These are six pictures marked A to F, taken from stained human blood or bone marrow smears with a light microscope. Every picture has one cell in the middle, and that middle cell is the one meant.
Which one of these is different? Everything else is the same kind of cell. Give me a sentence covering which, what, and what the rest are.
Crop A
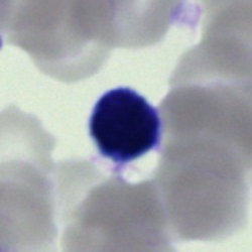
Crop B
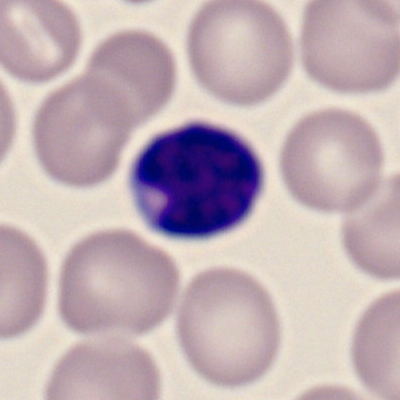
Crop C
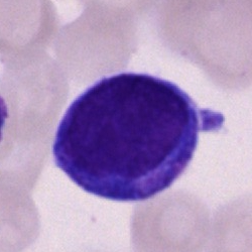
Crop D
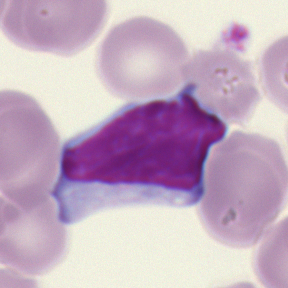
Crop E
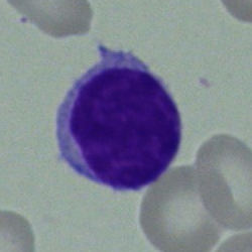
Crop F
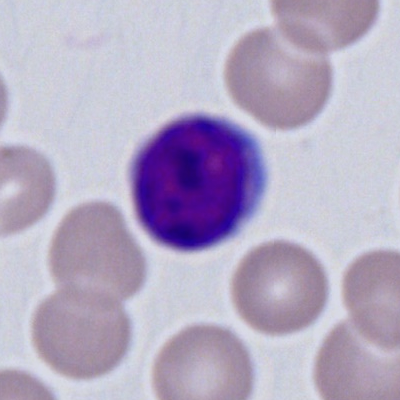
Seen in crop C is a blast, and seen in all other crops are lymphocytes.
